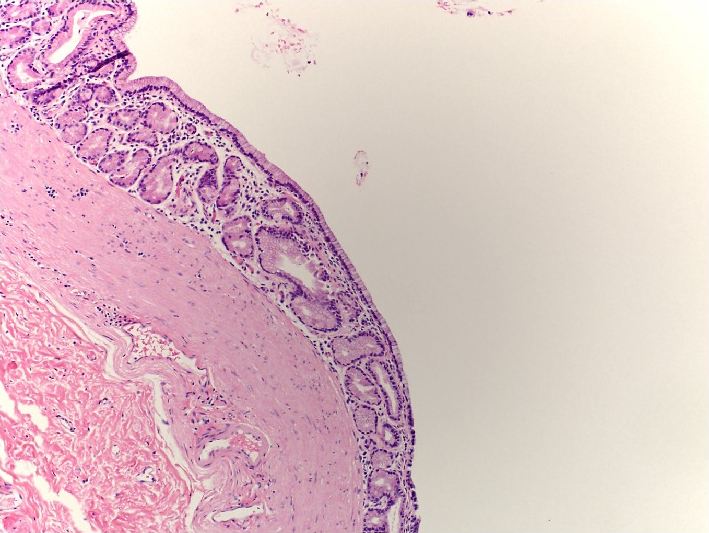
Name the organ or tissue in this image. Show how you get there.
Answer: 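Mucinous glandular epithelium. A single layer of tall columnar cells with pale apical cytoplasm lines the free surface facing the empty space. Many small glands lined by similar pale columnar cells lie packed in a thin cellular stroma beneath the surface.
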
